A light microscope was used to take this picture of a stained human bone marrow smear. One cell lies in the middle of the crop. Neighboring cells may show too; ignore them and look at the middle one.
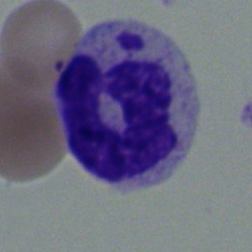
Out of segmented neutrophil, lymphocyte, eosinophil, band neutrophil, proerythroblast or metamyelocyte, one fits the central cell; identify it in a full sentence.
In this smear crop, the middle cell is a band neutrophil.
